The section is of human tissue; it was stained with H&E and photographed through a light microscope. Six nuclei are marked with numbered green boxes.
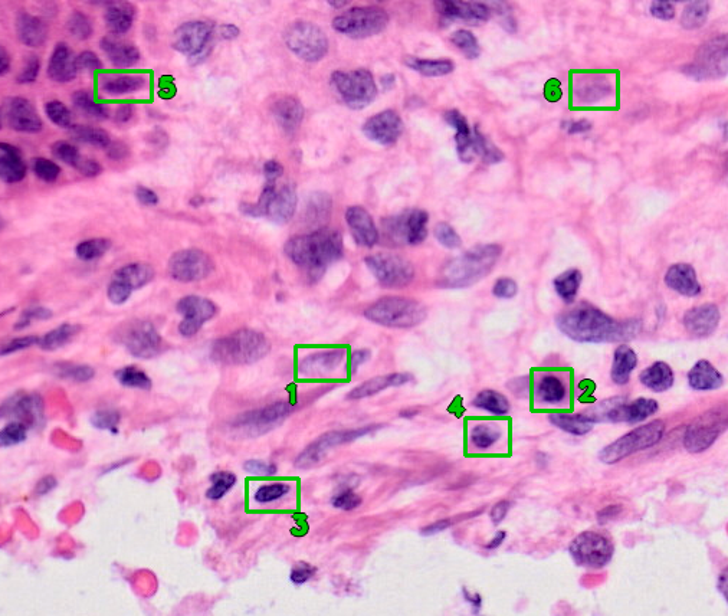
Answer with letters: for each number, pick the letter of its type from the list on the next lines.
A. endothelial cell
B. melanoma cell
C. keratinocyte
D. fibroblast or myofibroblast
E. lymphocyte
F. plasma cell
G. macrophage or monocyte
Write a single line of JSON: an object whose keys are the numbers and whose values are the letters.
{"1": "D", "2": "F", "3": "E", "4": "E", "5": "C", "6": "D"}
